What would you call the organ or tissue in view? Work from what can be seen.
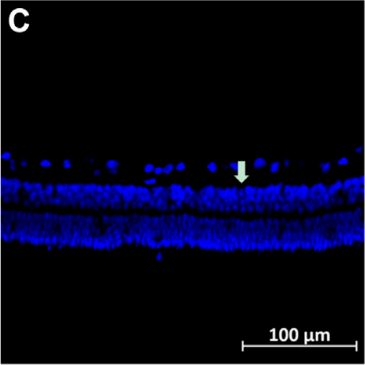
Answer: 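Nuclei are arranged in distinct horizontal layers separated by nucleus-free bands. A thick band of densely packed nuclei lies below a thinner band of nuclei. A sparse row of scattered nuclei lies along the top edge. So: retina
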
